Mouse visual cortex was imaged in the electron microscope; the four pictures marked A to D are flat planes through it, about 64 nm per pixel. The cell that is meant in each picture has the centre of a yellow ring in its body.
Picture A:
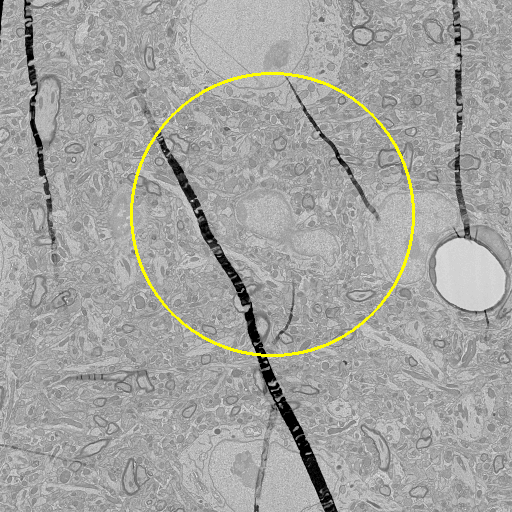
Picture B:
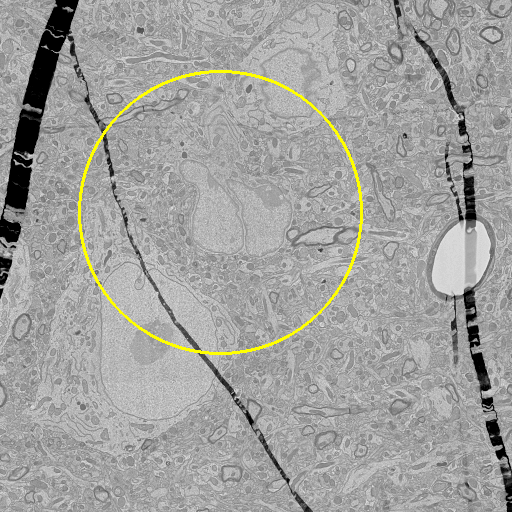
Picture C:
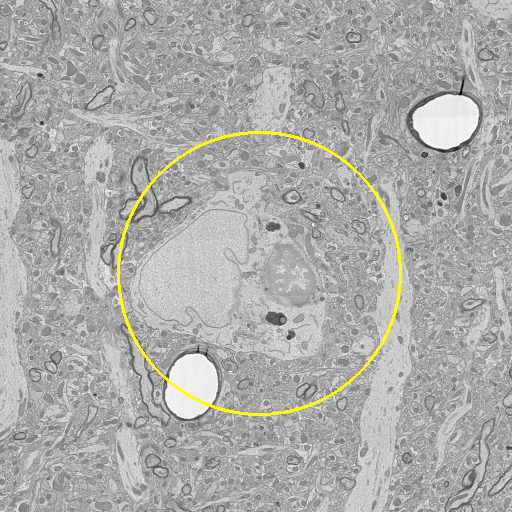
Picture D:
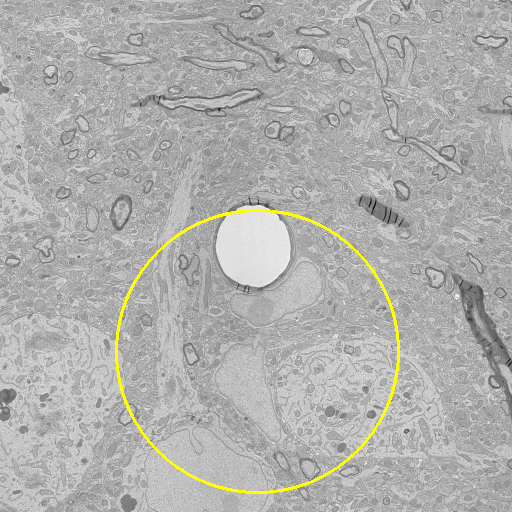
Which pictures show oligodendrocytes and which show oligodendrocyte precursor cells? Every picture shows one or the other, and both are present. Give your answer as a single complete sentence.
Picture C shows an oligodendrocyte, while pictures A, B and D show oligodendrocyte precursor cells.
